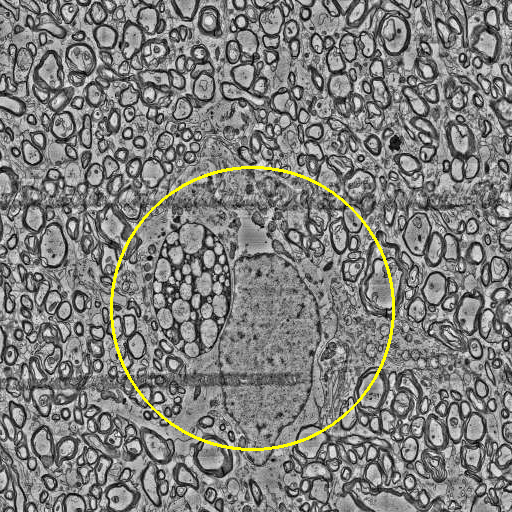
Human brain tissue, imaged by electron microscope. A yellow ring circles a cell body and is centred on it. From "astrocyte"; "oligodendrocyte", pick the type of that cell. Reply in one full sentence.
The cell body at the centre of the yellow ring belongs to an astrocyte.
